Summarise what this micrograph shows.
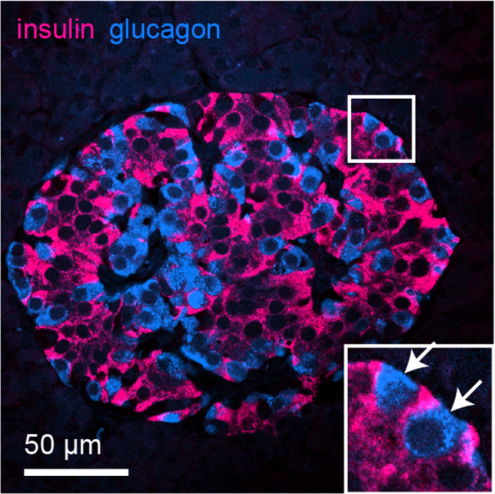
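Magenta-stained cells with granular cytoplasm and dark unstained nuclei are intermingled with blue-stained cells throughout the cluster, the blue cells being numerous at the rim as well as inside. Cells are polygonal and tightly packed. Dark, unstained clefts and channels run through the islet. The magnified inset at the lower right shows blue-stained cells at the edge of the islet with round dark nuclei, bordered by magenta-stained neighbours.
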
